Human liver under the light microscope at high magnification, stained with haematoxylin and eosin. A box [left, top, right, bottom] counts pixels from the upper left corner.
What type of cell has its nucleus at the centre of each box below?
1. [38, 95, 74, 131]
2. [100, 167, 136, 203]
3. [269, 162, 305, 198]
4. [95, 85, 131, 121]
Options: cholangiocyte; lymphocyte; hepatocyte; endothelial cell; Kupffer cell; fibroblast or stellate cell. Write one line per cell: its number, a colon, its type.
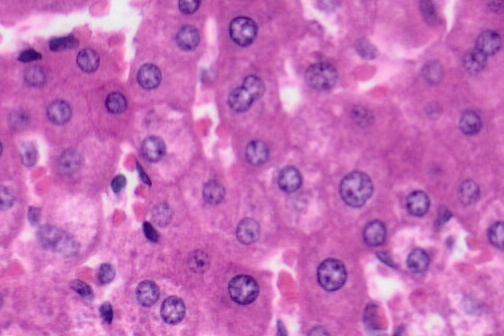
1: hepatocyte
2: lymphocyte
3: hepatocyte
4: hepatocyte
